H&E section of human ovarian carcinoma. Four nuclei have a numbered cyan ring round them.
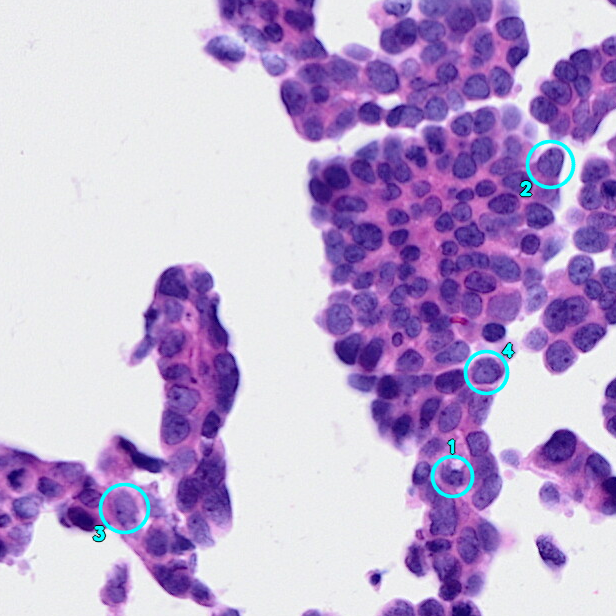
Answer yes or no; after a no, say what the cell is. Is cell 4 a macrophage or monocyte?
No, it is a carcinoma cell.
